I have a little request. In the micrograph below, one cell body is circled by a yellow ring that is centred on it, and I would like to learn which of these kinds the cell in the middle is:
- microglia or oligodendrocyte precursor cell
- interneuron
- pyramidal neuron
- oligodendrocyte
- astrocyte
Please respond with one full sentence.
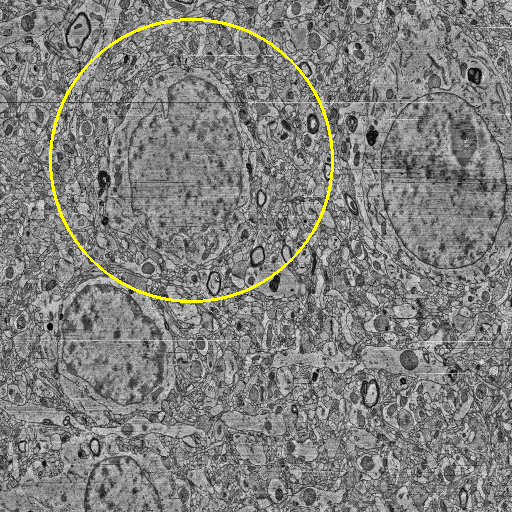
The cell sitting in the middle of the yellow ring in the micrograph is an interneuron.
